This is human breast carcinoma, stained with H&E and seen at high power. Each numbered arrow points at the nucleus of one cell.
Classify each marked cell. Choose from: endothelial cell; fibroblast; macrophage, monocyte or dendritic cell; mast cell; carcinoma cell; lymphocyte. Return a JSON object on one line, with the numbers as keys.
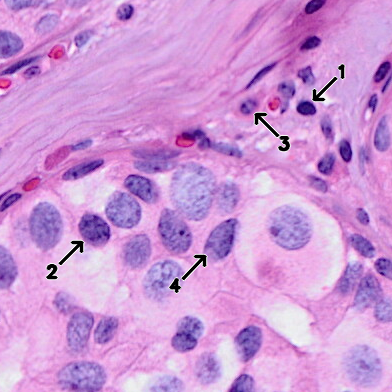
{"1": "lymphocyte", "2": "carcinoma cell", "3": "mast cell", "4": "carcinoma cell"}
